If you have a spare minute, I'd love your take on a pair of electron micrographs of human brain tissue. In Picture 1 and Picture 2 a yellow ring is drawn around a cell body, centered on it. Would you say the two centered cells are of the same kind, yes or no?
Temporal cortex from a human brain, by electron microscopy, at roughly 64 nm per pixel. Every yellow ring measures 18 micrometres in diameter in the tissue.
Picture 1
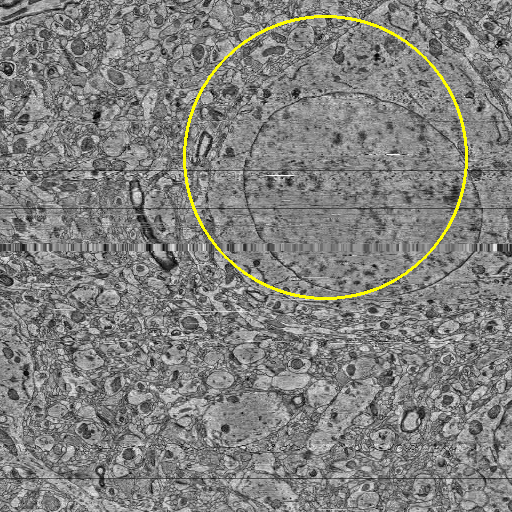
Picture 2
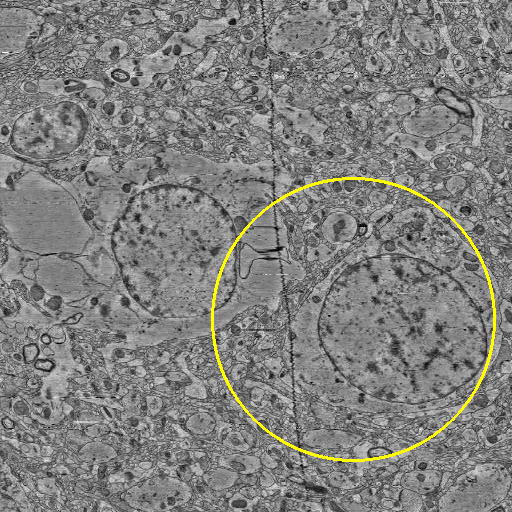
yes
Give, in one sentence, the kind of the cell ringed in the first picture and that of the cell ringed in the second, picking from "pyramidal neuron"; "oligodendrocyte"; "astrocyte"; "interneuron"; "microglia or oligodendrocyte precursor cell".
In both pictures the ring is centred on a pyramidal neuron.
